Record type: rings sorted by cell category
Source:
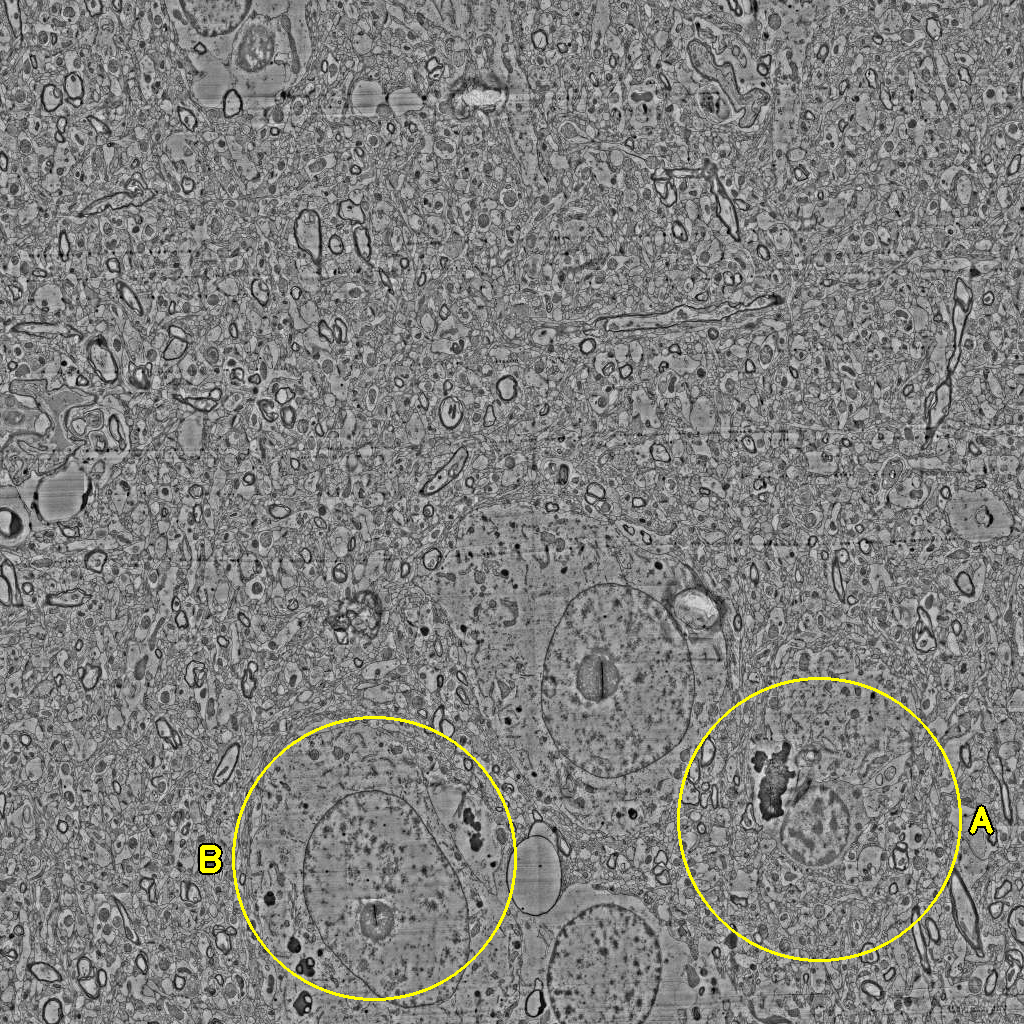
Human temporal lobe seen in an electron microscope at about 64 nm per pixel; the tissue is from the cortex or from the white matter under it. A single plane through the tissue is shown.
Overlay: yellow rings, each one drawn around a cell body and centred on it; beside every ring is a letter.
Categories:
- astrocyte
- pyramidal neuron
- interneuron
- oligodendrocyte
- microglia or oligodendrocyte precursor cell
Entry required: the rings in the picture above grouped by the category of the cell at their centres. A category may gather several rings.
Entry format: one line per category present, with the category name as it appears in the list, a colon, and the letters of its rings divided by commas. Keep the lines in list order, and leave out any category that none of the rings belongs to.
pyramidal neuron: B
oligodendrocyte: A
